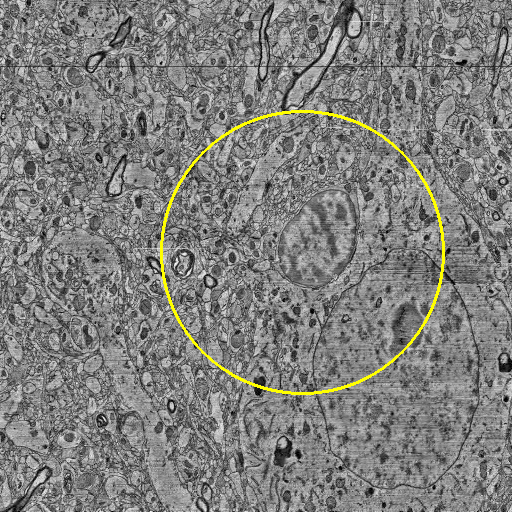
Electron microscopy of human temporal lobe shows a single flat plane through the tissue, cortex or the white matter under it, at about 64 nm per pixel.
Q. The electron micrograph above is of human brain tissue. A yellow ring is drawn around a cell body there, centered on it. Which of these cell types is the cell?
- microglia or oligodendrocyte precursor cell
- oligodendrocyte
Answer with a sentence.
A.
The cell under the ring's center is an oligodendrocyte.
